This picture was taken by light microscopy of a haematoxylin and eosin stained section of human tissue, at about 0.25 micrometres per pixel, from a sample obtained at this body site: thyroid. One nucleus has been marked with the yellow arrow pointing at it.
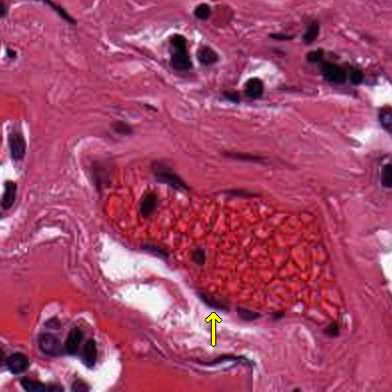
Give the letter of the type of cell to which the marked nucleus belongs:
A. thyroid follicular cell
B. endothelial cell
B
